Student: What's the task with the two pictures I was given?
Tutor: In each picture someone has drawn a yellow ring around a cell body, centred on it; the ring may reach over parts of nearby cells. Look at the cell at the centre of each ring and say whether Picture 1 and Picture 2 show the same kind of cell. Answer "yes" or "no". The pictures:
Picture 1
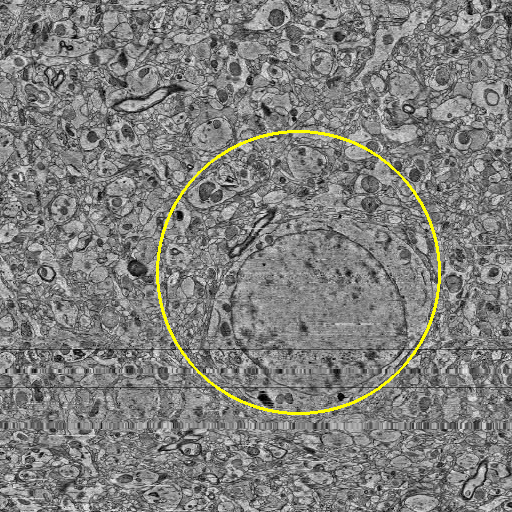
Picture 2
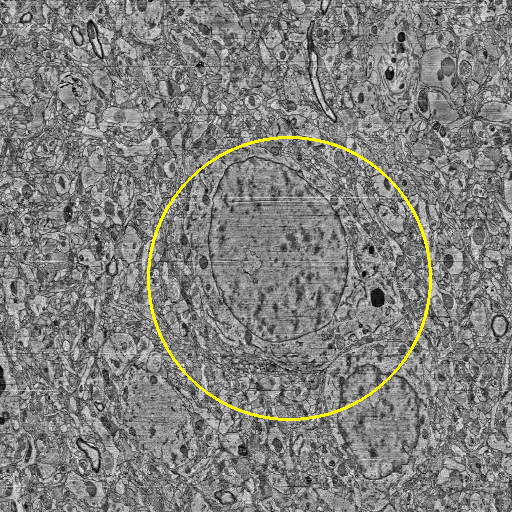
yes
